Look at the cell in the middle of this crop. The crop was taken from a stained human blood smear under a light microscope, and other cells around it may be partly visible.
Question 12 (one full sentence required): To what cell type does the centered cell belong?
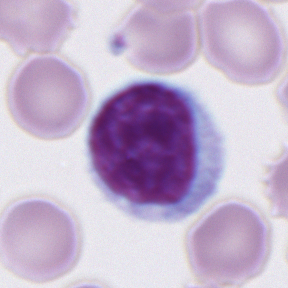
Located at the centre of the crop is a typical lymphocyte.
